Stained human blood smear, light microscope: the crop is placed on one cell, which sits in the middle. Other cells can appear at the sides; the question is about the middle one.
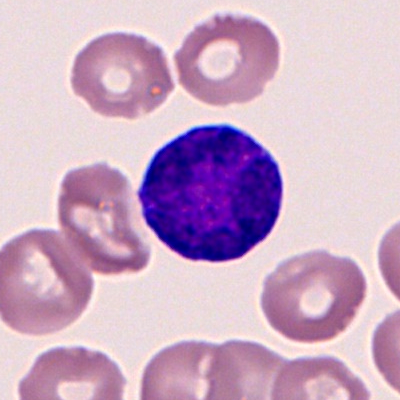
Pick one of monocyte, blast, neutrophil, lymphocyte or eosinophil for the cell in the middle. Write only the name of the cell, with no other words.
lymphocyte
